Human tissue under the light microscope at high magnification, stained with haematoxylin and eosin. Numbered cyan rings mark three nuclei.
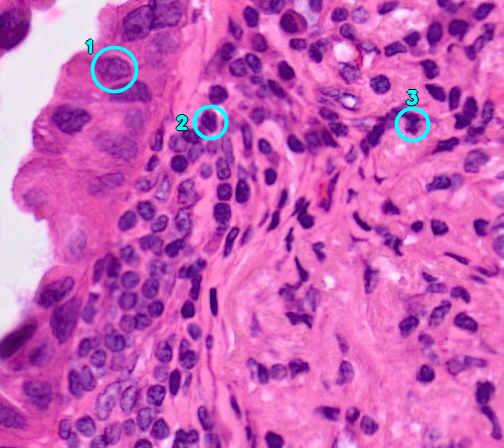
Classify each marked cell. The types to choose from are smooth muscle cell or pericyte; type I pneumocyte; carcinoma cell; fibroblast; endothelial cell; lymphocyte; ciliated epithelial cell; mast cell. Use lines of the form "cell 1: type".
cell 1: carcinoma cell
cell 2: lymphocyte
cell 3: lymphocyte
